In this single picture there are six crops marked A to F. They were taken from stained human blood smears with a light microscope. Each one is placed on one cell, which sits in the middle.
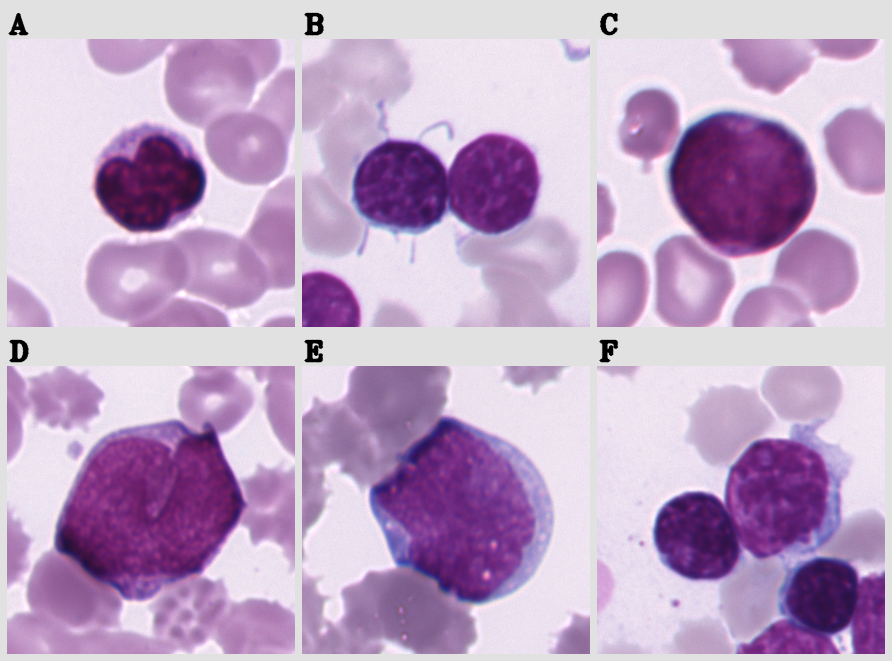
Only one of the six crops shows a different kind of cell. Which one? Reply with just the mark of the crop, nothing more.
A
